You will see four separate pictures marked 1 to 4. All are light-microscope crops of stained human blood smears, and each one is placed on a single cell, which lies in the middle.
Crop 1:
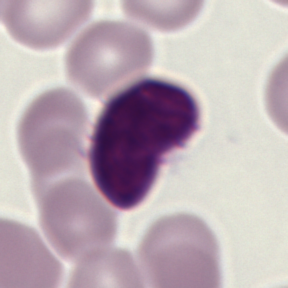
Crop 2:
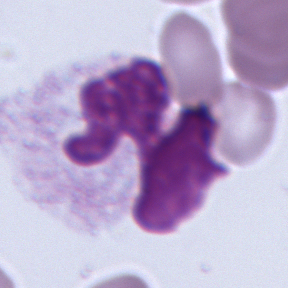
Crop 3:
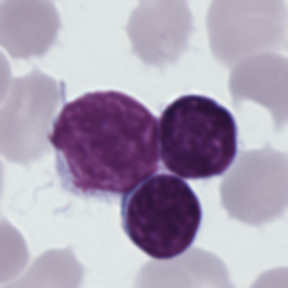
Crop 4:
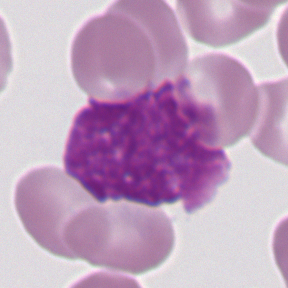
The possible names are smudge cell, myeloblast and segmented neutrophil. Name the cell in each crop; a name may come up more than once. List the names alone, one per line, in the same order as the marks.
smudge cell
segmented neutrophil
myeloblast
smudge cell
